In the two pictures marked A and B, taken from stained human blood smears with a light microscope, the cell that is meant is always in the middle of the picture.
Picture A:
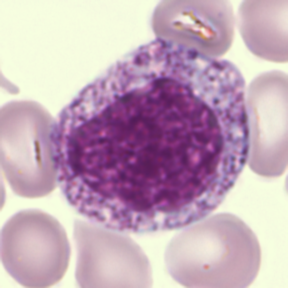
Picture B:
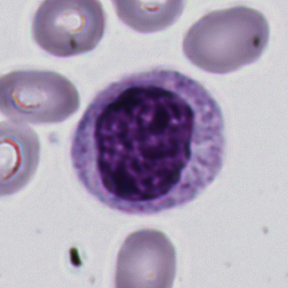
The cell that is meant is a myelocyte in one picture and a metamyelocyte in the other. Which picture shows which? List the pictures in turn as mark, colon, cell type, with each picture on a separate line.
A: myelocyte
B: metamyelocyte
